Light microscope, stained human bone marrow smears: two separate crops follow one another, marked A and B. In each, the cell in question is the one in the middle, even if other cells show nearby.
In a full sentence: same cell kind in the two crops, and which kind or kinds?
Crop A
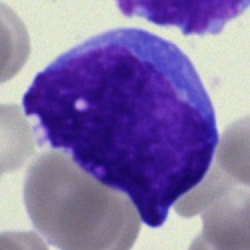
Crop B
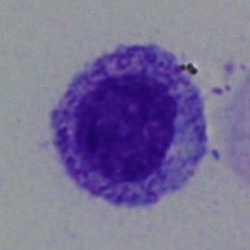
No, shown in crop A is a blast, and shown in crop B is a myelocyte.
